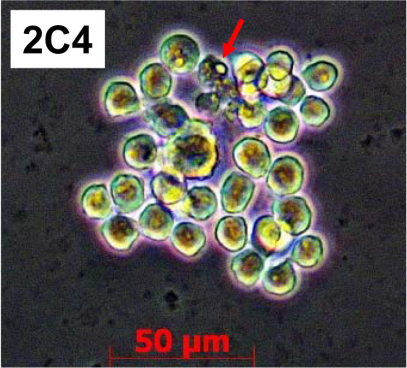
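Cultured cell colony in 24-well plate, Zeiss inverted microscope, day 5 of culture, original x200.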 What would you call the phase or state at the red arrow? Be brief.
Apoptosing cell with condensed nucleus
